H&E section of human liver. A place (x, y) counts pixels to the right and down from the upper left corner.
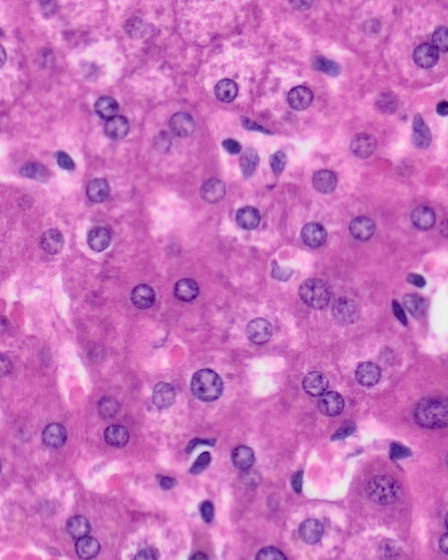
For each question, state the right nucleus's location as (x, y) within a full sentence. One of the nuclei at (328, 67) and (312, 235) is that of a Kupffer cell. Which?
The nucleus at (328, 67) is part of a Kupffer cell, while the other is not.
